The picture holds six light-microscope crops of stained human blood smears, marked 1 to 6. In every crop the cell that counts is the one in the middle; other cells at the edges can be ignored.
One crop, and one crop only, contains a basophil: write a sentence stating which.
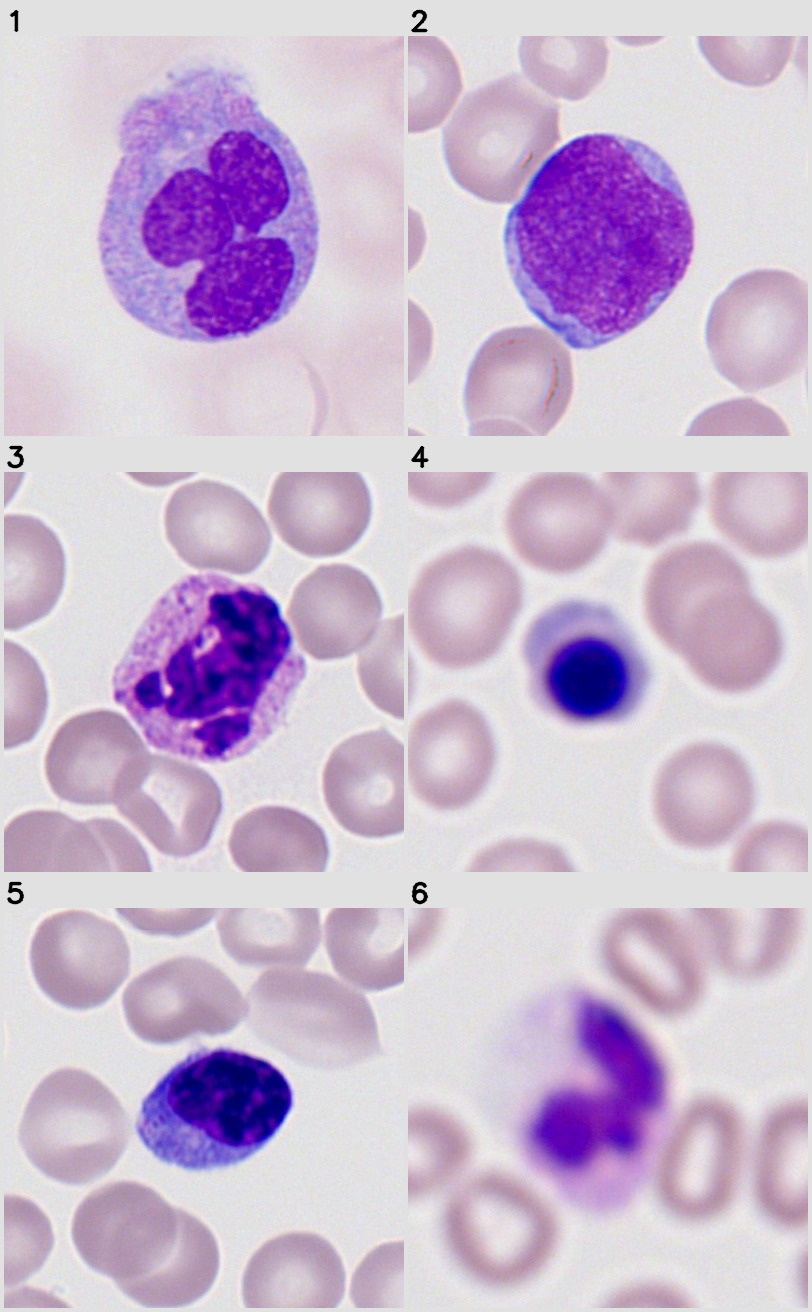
The one crop that shows a basophil is crop 3.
